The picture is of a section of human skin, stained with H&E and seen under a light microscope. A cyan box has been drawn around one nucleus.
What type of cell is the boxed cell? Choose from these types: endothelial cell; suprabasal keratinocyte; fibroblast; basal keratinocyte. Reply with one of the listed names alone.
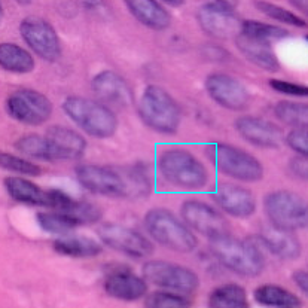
suprabasal keratinocyte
